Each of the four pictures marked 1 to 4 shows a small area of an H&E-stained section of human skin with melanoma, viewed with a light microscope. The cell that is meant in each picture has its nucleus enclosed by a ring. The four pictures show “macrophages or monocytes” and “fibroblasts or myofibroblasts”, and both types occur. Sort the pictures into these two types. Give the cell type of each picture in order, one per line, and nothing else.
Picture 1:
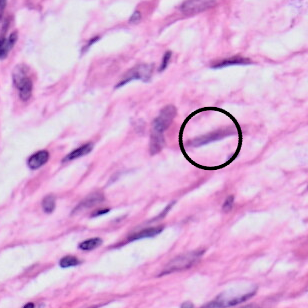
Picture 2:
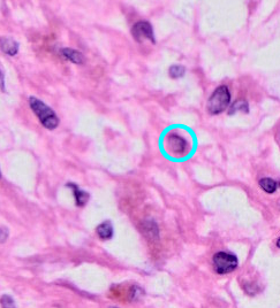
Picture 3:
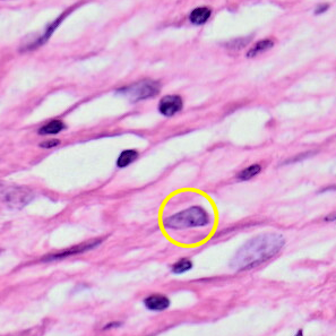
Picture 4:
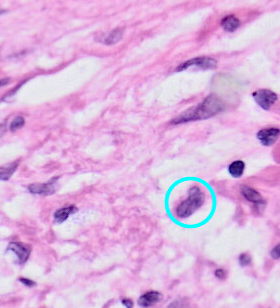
fibroblast or myofibroblast
macrophage or monocyte
fibroblast or myofibroblast
macrophage or monocyte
